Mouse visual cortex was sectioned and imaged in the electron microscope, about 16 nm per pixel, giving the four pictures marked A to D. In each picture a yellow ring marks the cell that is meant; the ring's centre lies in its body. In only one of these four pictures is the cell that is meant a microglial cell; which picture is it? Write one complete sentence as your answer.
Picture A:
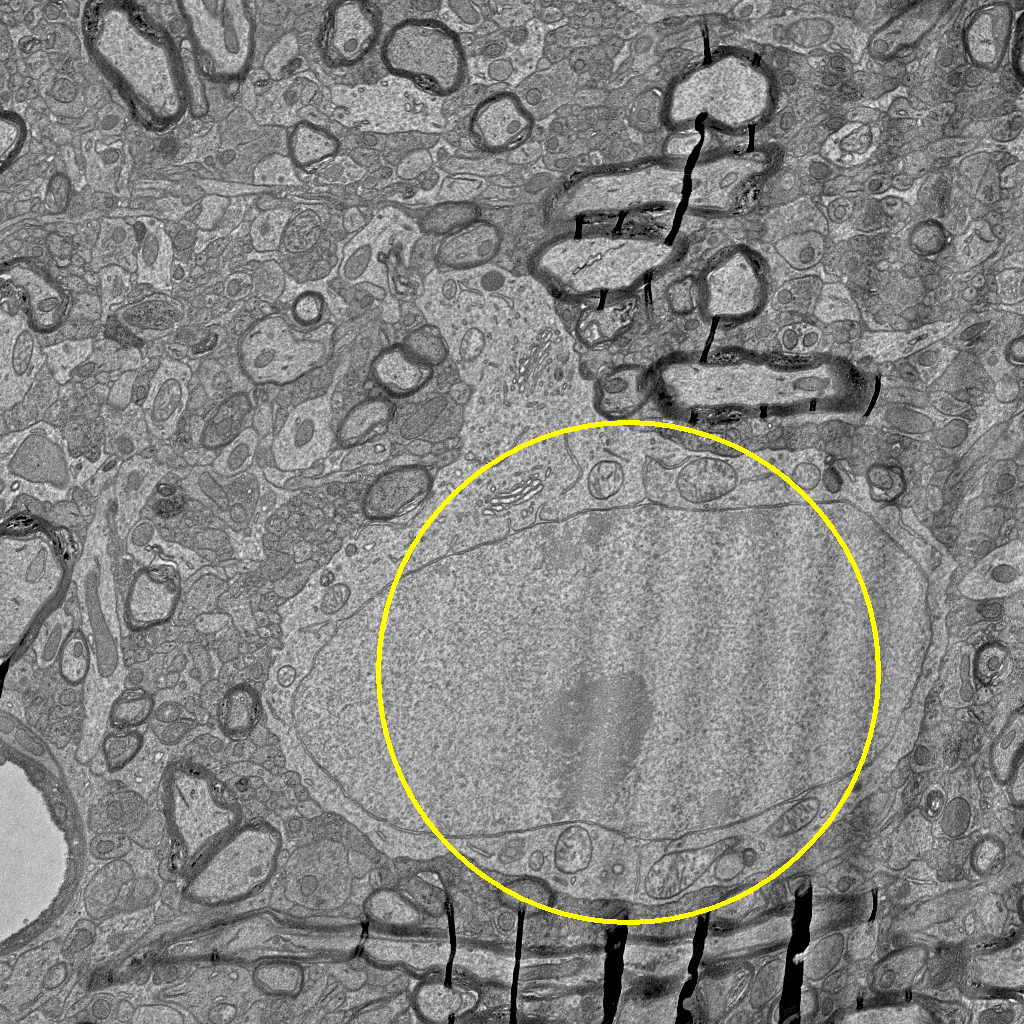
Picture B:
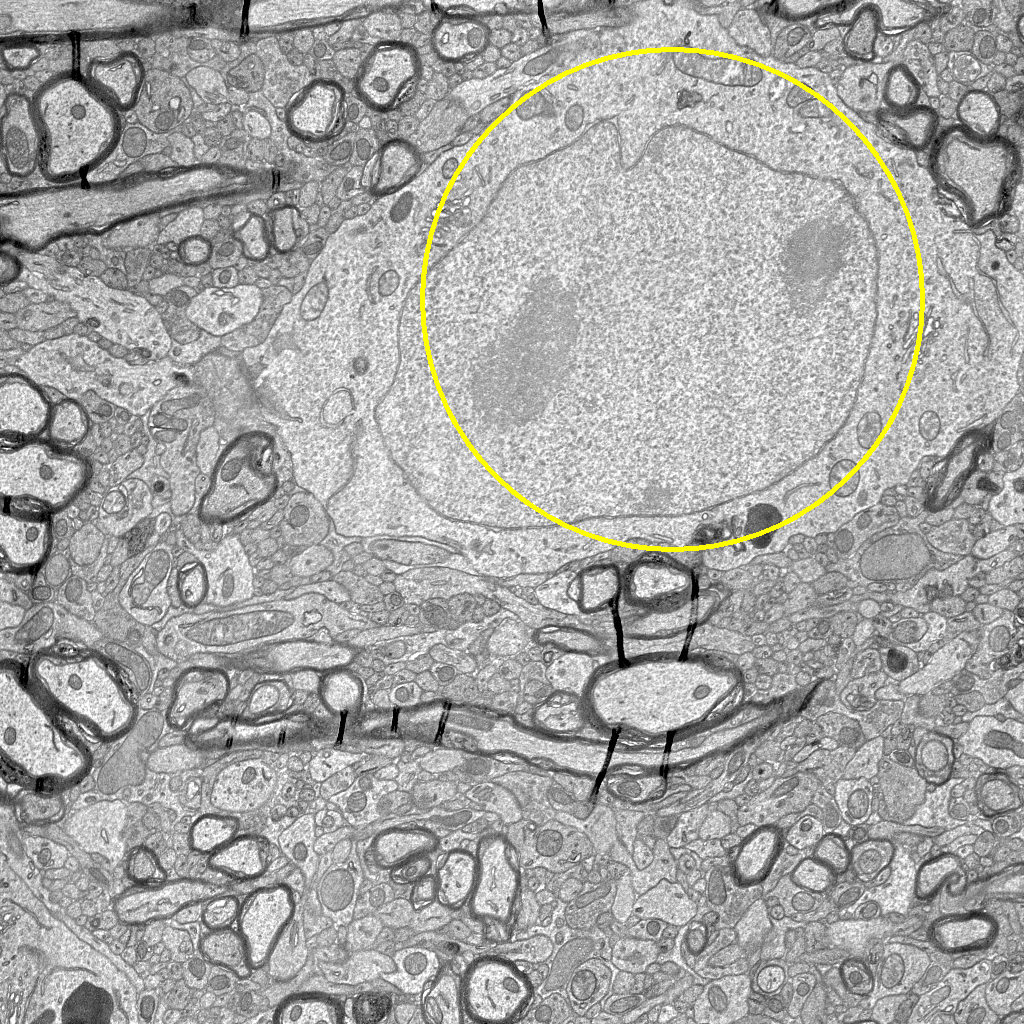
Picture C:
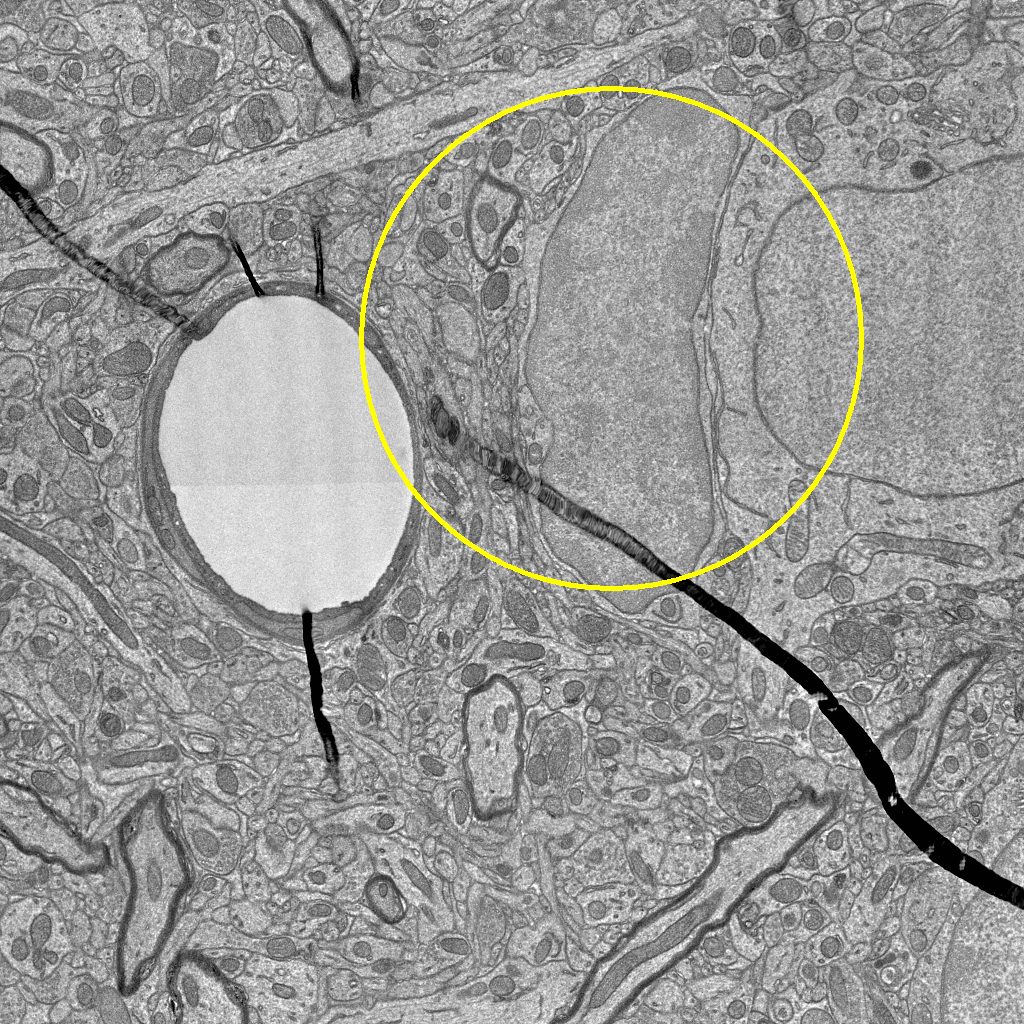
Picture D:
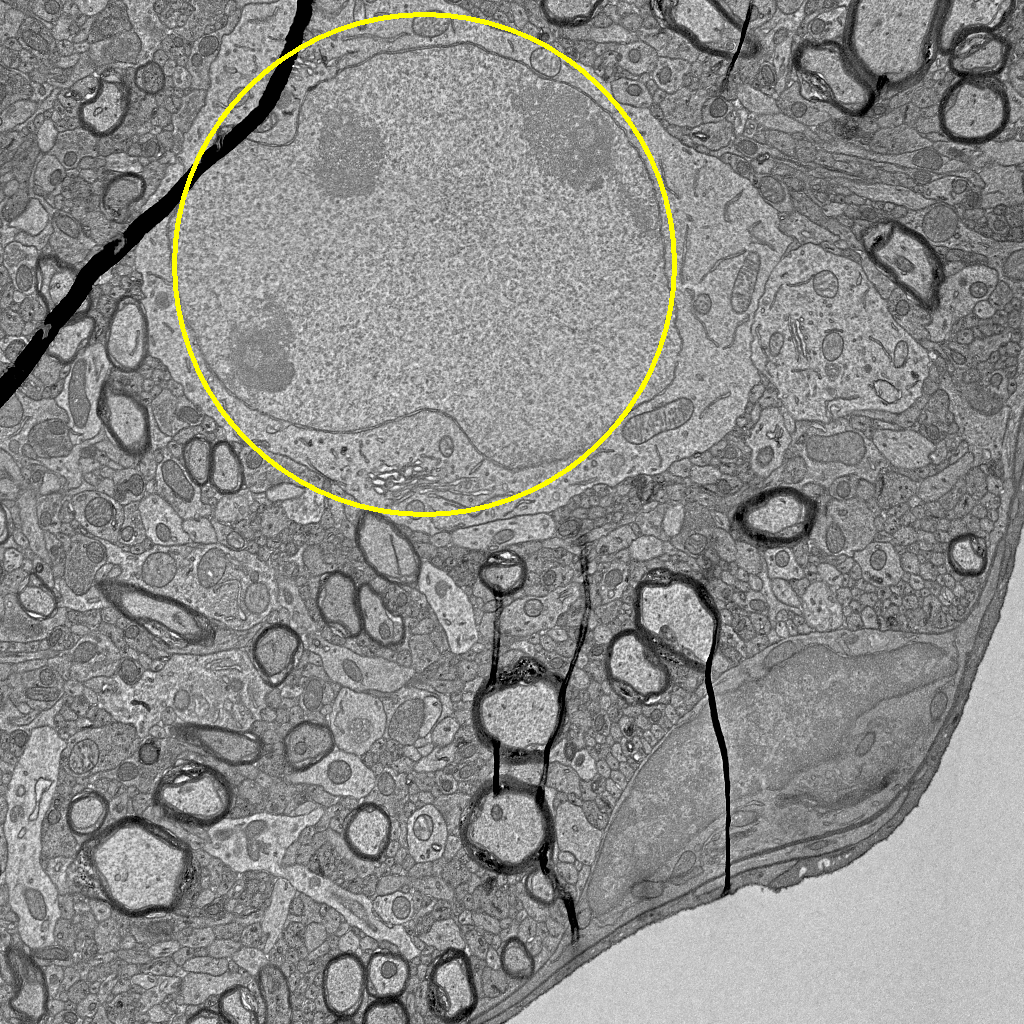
The microglial cell is the one in picture C.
